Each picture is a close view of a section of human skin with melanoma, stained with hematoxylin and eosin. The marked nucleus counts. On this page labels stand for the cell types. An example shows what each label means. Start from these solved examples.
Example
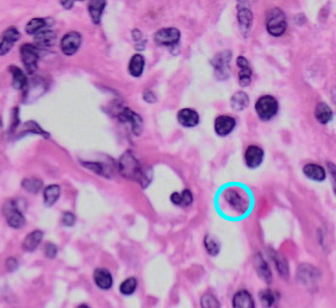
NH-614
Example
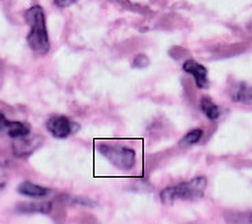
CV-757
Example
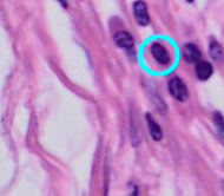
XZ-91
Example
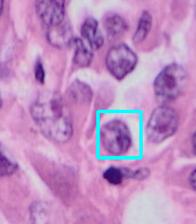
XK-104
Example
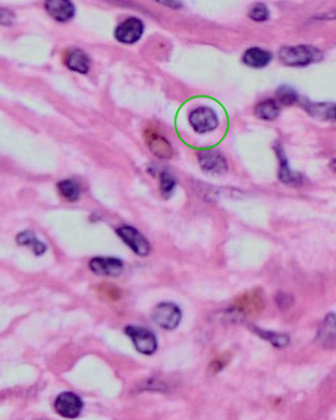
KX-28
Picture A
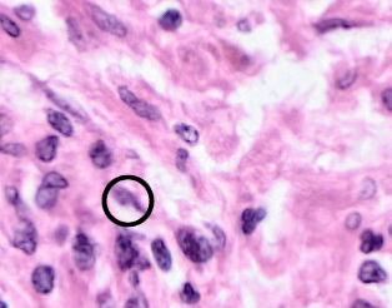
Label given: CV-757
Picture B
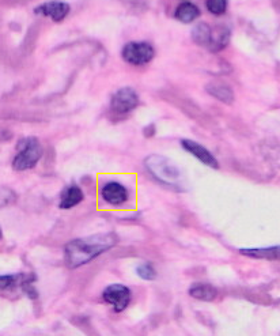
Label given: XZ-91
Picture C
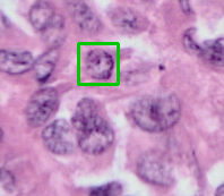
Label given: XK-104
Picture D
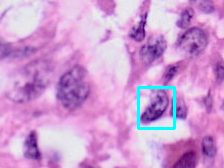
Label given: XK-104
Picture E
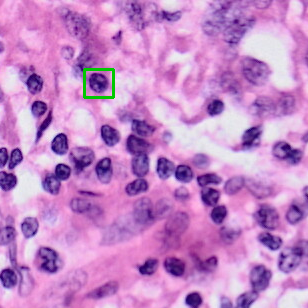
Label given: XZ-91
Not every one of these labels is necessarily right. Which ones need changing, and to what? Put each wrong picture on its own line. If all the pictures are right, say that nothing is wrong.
All labels are correct.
